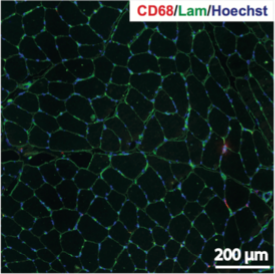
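Cross-section of muscle fibers, each outlined by a thin green border. The fibers are polygonal, closely packed and fairly uniform in size. Blue nuclei sit at the fiber edges. Red-stained cells are rare.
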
